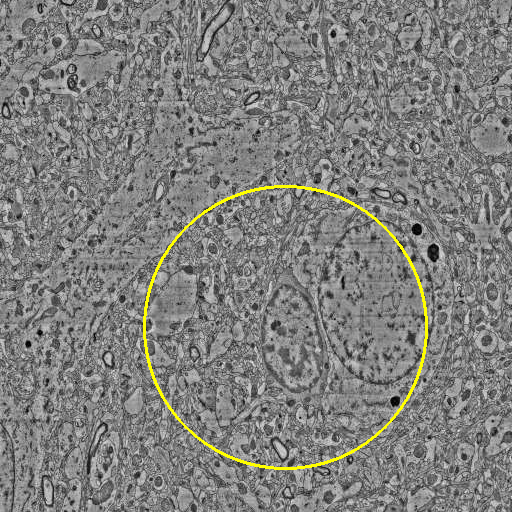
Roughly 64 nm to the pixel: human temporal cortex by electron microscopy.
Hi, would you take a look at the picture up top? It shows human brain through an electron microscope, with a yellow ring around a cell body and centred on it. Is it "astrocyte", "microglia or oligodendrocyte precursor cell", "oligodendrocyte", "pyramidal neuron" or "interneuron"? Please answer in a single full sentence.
The best fit for the cell in the middle of the ring is an oligodendrocyte, I reckon.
